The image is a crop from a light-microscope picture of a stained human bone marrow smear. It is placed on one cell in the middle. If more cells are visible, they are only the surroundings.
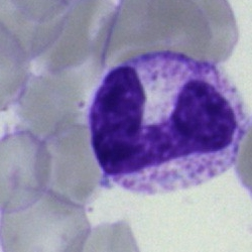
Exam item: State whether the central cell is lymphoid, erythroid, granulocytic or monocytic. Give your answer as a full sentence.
By lineage, the cell in the middle of the crop is granulocytic.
